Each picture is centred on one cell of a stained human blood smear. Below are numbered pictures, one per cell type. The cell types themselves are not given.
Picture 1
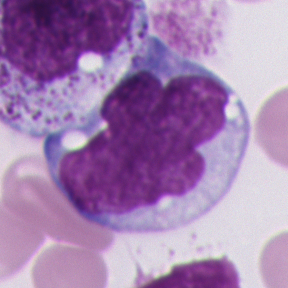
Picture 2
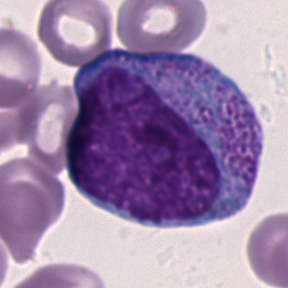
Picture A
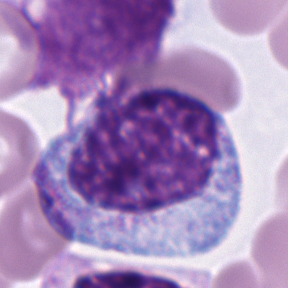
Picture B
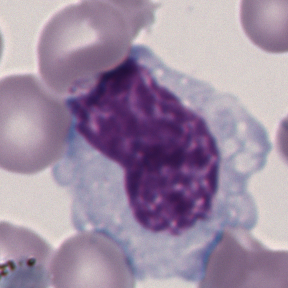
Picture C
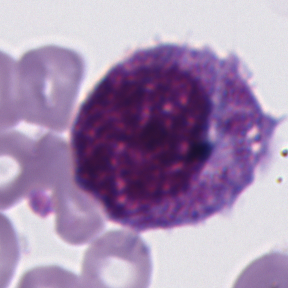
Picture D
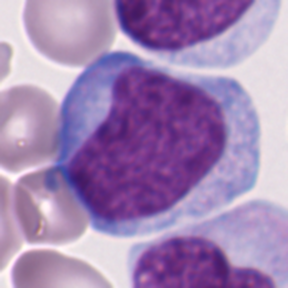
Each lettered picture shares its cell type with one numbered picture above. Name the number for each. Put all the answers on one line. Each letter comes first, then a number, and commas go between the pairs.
A 2, B 1, C 2, D 2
